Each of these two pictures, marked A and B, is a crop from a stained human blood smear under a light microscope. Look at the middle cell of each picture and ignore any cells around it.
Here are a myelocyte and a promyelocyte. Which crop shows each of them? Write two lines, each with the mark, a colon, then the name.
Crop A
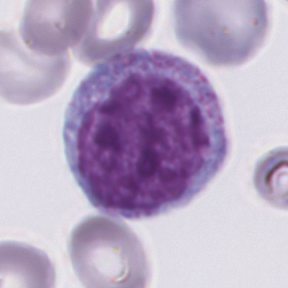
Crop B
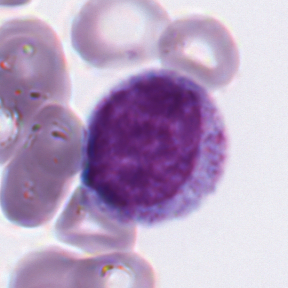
A: promyelocyte
B: myelocyte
